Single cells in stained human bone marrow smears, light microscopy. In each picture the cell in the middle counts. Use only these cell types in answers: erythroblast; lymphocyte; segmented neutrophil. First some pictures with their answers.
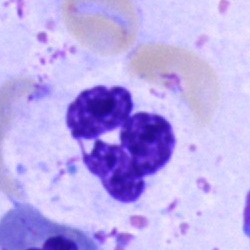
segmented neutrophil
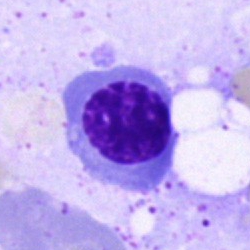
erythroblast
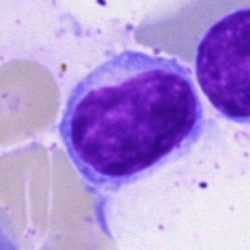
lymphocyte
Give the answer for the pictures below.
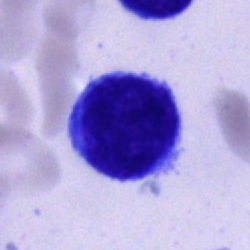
lymphocyte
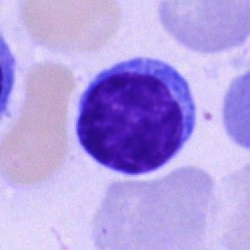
lymphocyte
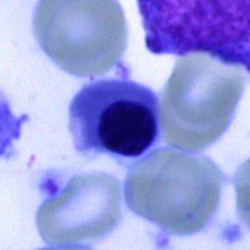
erythroblast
